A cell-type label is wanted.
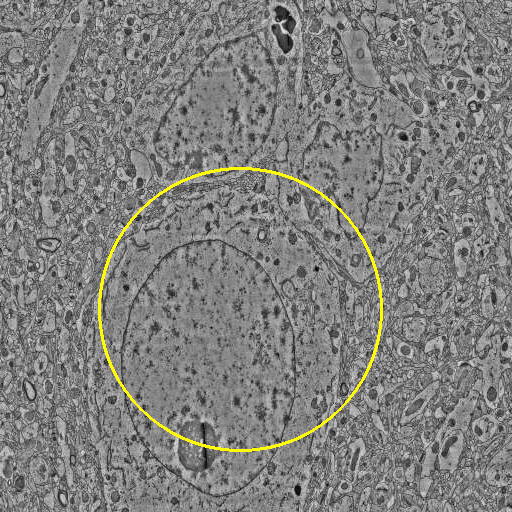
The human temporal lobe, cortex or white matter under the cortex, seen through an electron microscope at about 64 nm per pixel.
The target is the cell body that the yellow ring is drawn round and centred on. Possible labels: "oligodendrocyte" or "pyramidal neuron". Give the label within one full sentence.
Of the labels offered, the cell in the middle of the yellow ring is a pyramidal neuron.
